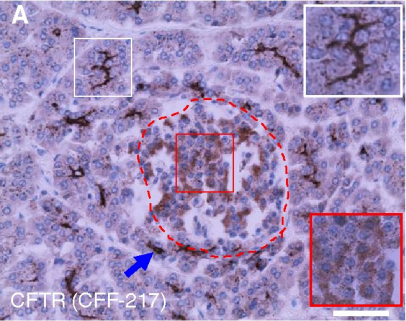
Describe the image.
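Pancreas section with exocrine acini surrounding a rounded islet. Acinar cells form lobules with basal blue nuclei and pale violet cytoplasm. Thin dark brown branching lines run between acini, marking small ducts lined by stained duct cells; one enlarged inset shows such a branching brown-lined lumen. The islet is a compact cluster of cells with round nuclei and diffusely light brown cytoplasm, set off from the paler acinar tissue; an enlarged inset shows its granular brown-stained cells.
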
